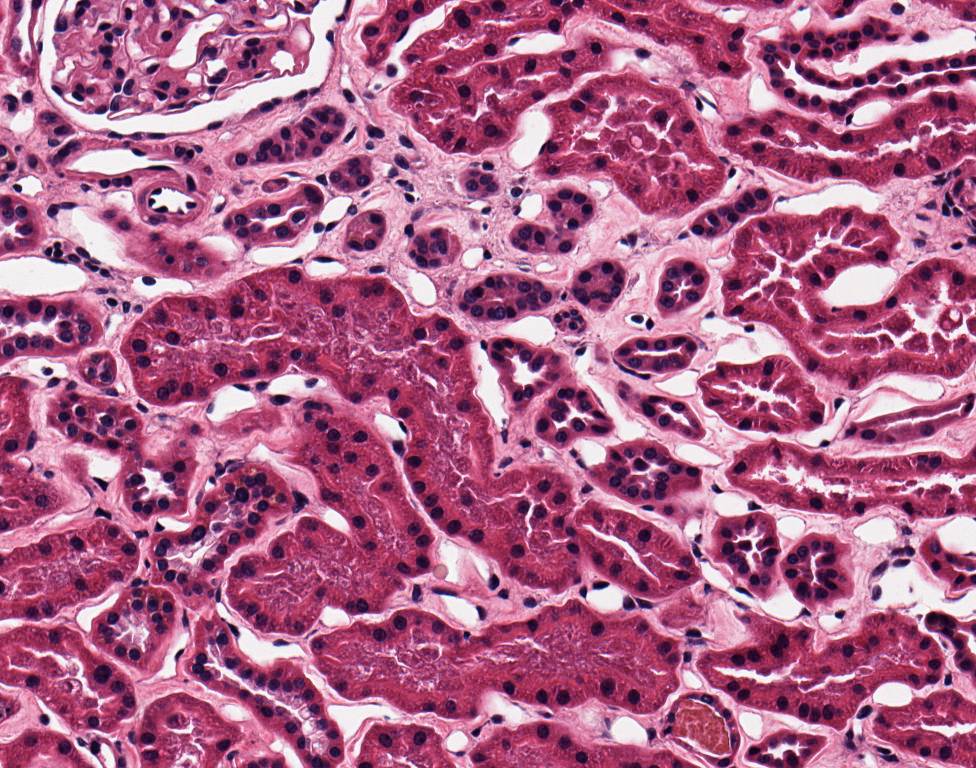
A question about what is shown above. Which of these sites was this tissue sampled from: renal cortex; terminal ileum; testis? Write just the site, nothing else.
renal cortex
